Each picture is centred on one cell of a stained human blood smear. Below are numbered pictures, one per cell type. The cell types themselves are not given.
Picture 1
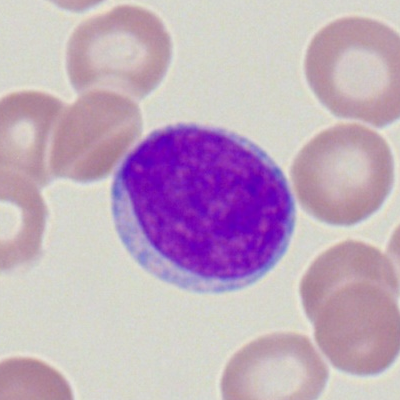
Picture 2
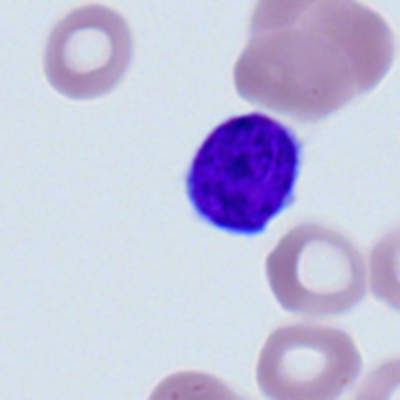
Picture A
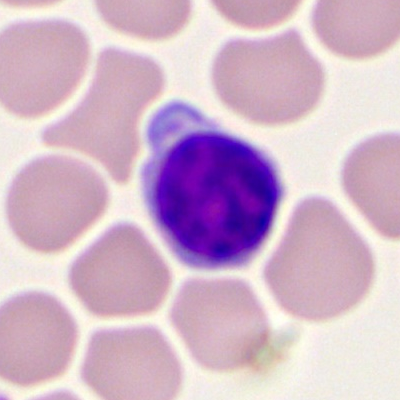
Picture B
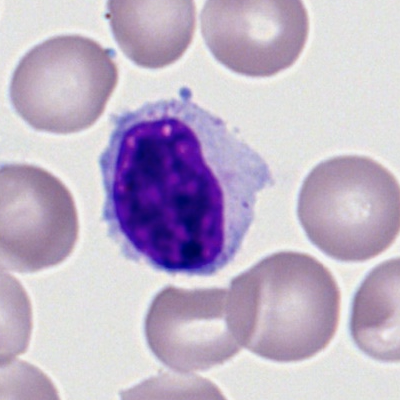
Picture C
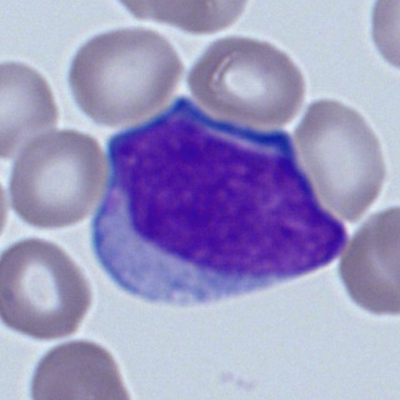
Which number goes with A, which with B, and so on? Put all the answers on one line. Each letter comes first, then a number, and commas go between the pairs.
A 2, B 2, C 1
